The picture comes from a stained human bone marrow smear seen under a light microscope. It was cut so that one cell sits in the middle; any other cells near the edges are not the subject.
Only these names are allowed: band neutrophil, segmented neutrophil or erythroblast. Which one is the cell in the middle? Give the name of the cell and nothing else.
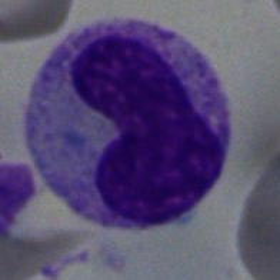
band neutrophil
